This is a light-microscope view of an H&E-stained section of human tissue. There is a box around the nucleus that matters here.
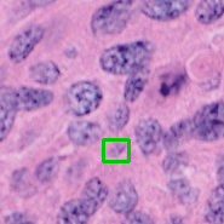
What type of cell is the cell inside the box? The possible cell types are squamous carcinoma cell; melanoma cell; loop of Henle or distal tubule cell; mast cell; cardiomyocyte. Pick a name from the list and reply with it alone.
squamous carcinoma cell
